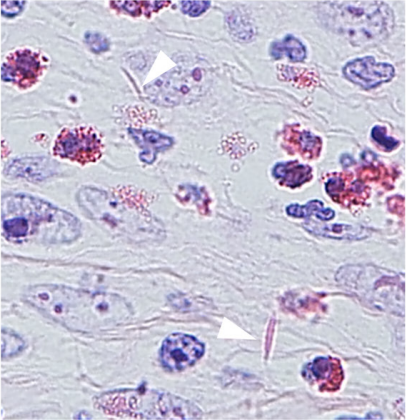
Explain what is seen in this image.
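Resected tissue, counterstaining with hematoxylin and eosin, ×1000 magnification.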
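This high-power field shows eosinophils lying in loose pale connective tissue, recognised by their cytoplasm crowded with coarse bright red-pink granules around dark purple nuclei. Some of these cells look broken up, with clusters of free red granules scattered outside any cell outline. Between them lie larger pale oval nuclei of stromal cells with fine chromatin and little visible cytoplasm. Two slender, pointed, needle-shaped pale objects stand out among the cells; these are crystals rather than cells, as they have no nucleus. The background is a faintly stained, wispy matrix.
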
